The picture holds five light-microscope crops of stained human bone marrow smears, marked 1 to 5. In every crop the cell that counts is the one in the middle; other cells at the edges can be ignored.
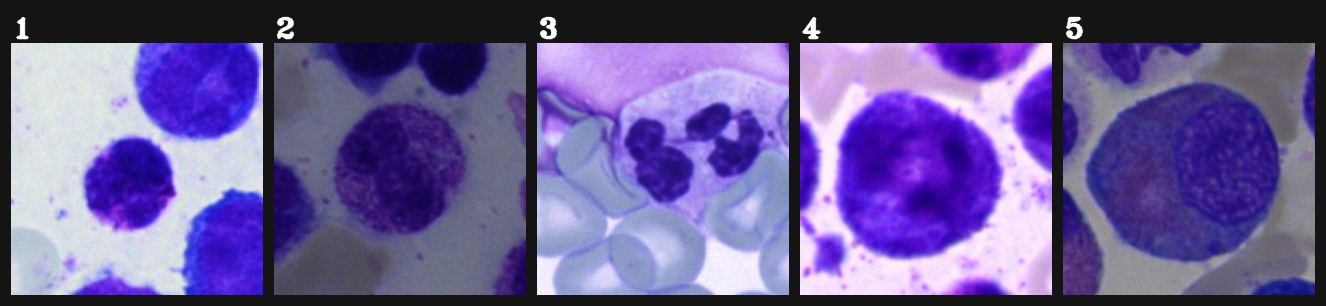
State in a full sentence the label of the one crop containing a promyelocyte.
The one showing a promyelocyte is the crop labelled 4.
